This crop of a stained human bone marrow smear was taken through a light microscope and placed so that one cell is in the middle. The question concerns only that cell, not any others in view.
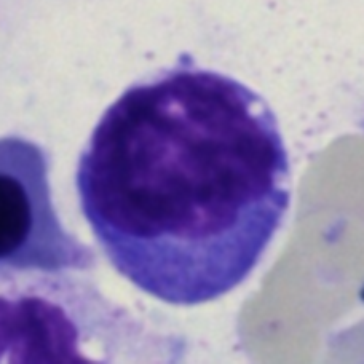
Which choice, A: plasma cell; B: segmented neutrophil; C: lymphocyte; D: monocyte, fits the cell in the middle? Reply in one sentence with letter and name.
Identified correctly by option A, the cell in the middle is a plasma cell.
